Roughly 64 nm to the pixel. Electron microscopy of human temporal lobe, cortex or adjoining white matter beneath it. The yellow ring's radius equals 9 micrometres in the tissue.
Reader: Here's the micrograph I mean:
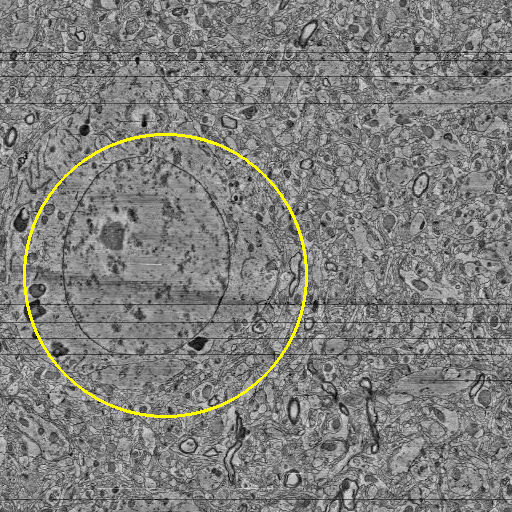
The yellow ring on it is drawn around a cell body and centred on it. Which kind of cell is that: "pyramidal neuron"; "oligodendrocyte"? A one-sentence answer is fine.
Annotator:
The ring is centred on a pyramidal neuron.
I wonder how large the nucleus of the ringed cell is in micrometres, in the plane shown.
About 14 micrometres by about 11 micrometres in this plane.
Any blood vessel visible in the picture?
No.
